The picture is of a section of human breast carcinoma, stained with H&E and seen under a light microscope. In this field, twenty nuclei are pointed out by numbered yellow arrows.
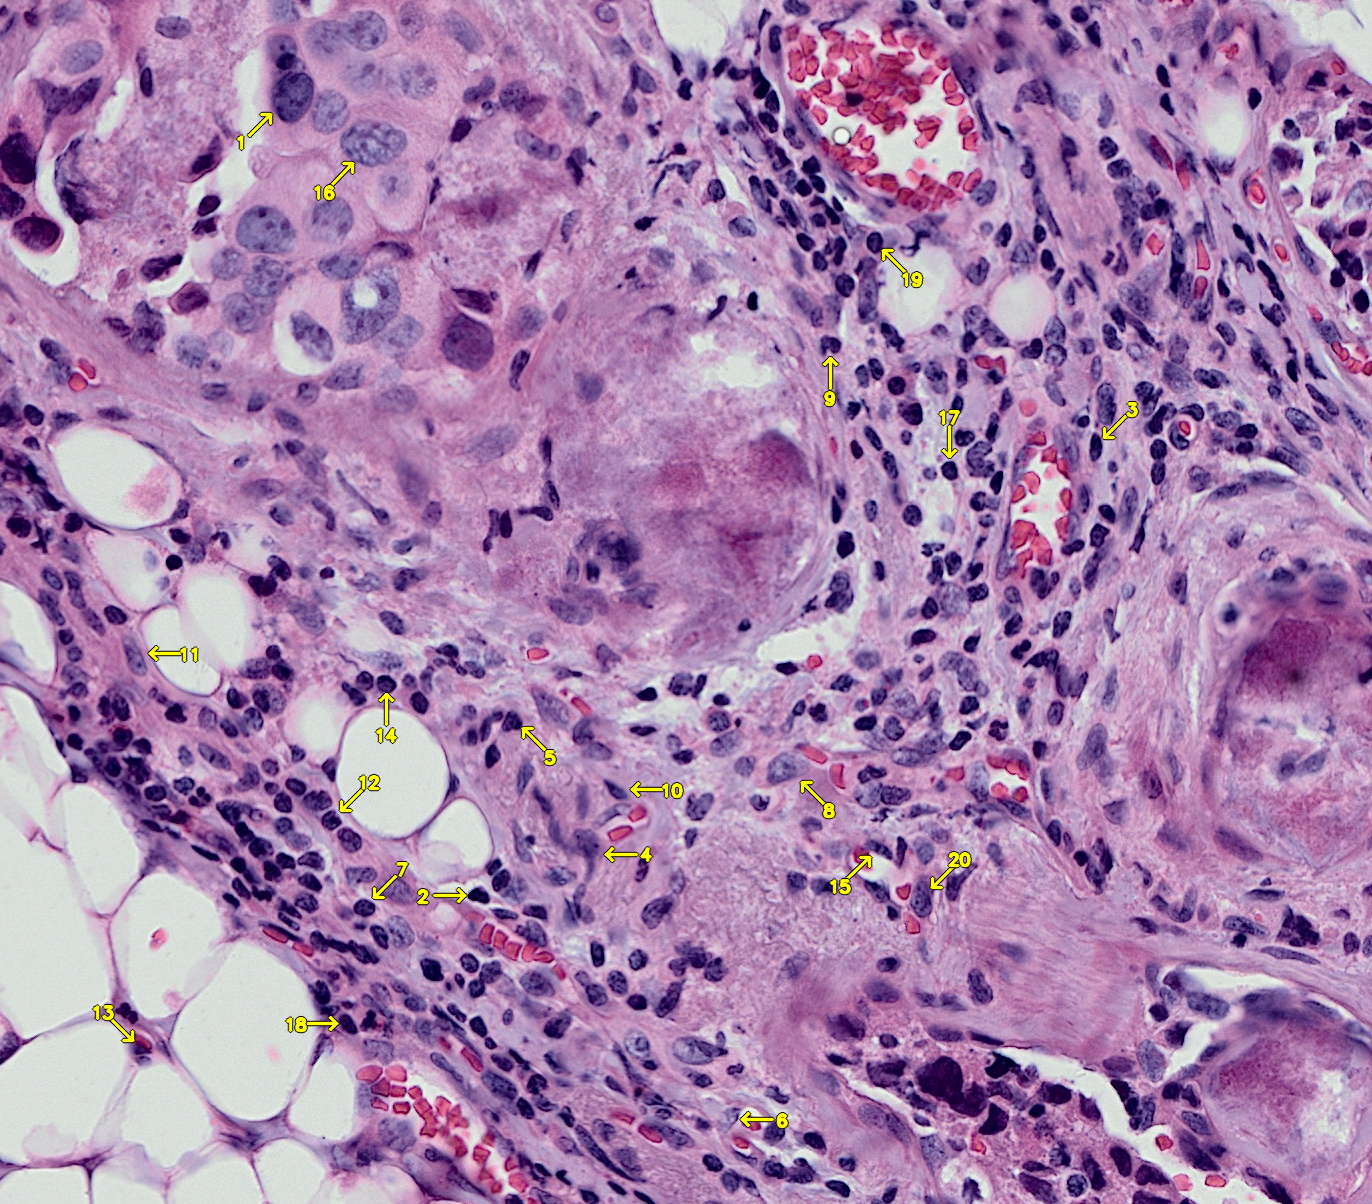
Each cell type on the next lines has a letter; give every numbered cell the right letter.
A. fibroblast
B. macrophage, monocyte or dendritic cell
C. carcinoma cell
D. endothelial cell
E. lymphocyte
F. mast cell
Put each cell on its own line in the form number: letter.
1: C
2: E
3: E
4: D
5: E
6: D
7: E
8: D
9: E
10: D
11: D
12: E
13: D
14: E
15: D
16: C
17: E
18: E
19: E
20: D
